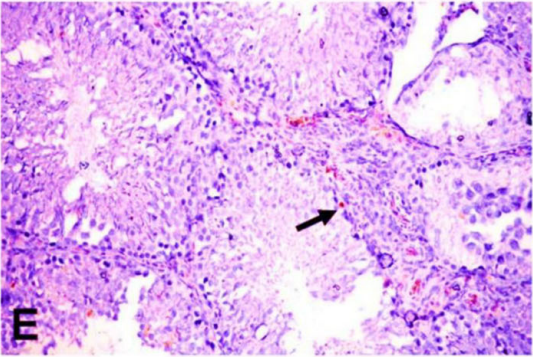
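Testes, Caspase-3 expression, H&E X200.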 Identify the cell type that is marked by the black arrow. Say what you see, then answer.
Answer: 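The arrow points to a small red-stained cell in the space between adjacent tubules. The answer: Leydig cells.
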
